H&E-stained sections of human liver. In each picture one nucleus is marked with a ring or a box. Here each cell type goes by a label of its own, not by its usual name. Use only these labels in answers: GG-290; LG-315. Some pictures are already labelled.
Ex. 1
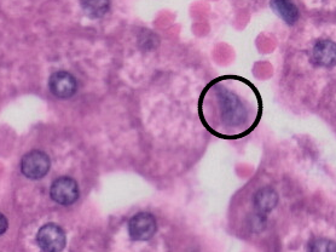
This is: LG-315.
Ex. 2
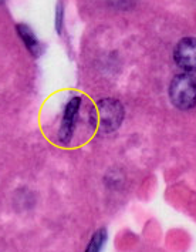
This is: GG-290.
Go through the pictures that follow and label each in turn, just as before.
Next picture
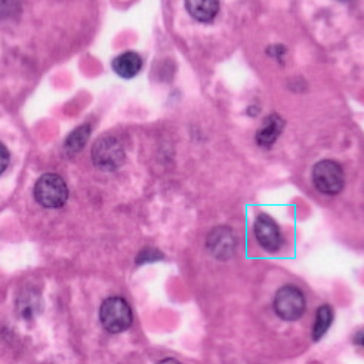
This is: LG-315.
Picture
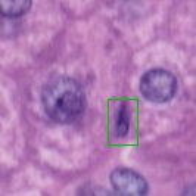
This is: GG-290.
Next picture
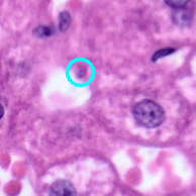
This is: LG-315.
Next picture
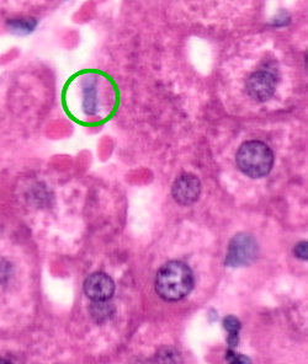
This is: LG-315.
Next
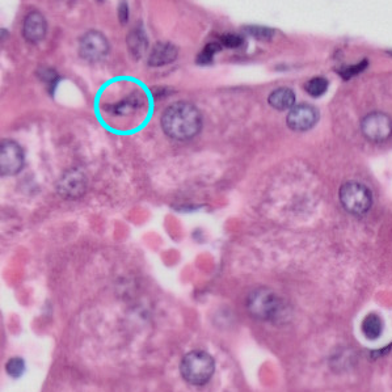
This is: GG-290.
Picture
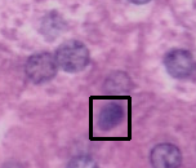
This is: GG-290.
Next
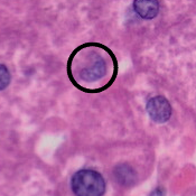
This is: LG-315.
